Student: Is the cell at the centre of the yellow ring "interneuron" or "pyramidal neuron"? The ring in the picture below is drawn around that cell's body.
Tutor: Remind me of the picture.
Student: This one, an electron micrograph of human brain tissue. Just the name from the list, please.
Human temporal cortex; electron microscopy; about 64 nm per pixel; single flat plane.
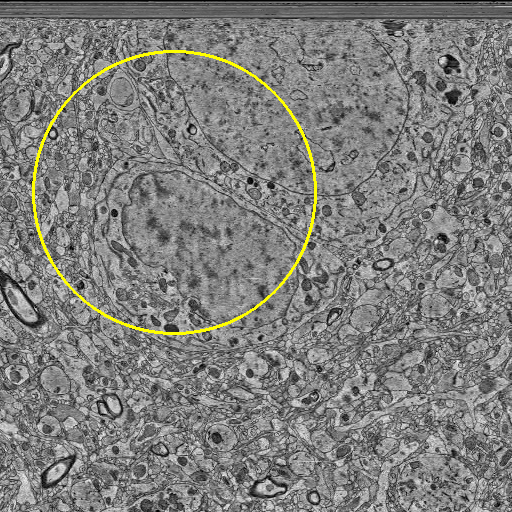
interneuron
